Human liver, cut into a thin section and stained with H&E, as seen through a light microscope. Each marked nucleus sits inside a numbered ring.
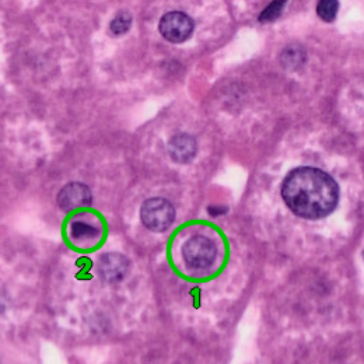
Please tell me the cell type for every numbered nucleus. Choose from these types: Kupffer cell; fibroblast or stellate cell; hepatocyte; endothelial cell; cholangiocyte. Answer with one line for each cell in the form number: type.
1: hepatocyte
2: fibroblast or stellate cell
